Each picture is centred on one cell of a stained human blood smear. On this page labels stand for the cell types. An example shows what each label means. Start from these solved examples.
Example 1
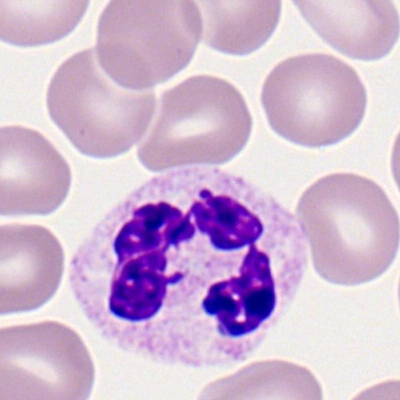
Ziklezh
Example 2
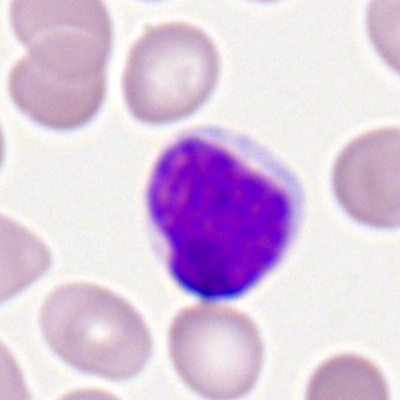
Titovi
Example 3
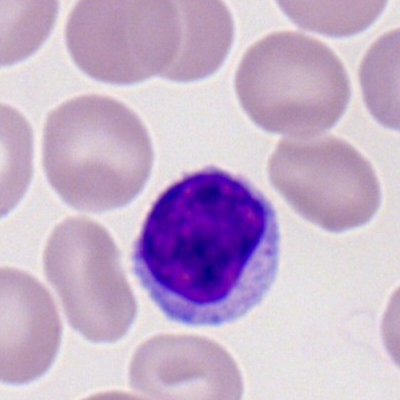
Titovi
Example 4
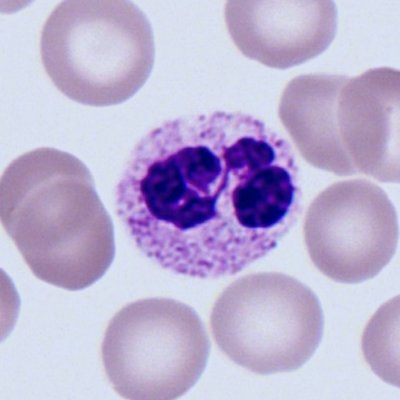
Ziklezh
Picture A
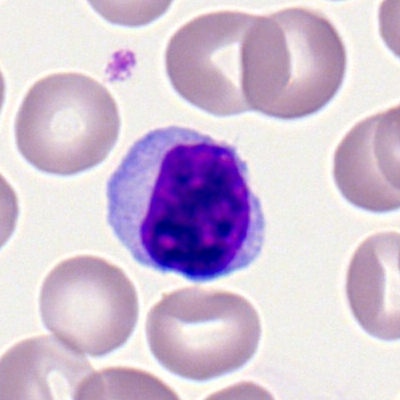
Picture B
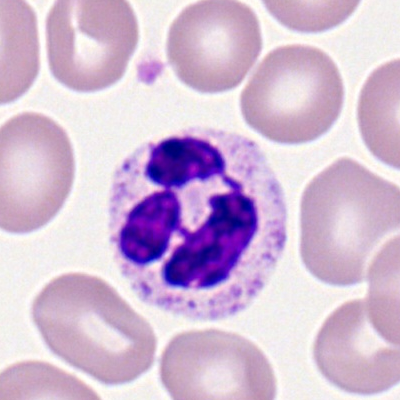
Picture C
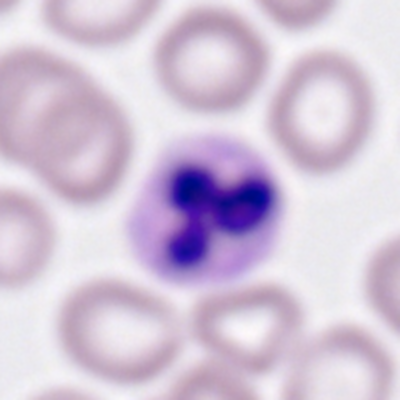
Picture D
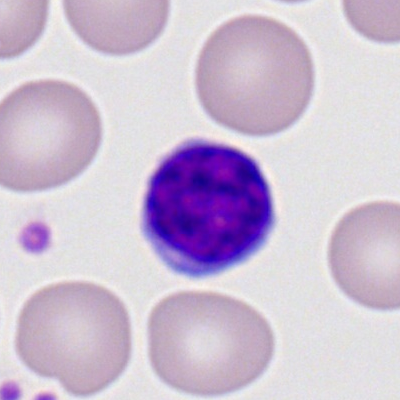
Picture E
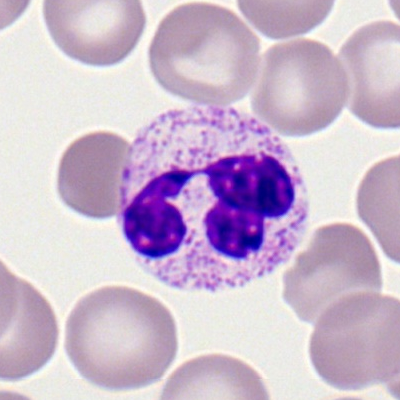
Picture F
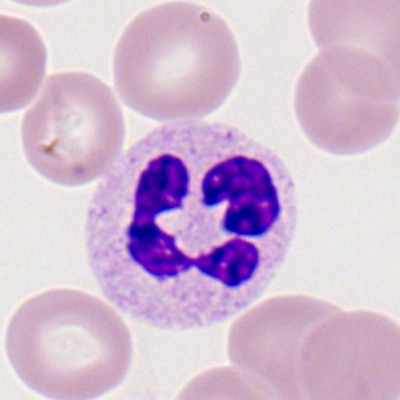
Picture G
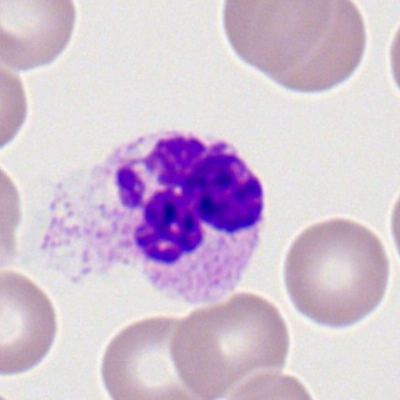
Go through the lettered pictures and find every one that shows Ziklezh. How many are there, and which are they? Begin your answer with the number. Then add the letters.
5: B, C, E, F, G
